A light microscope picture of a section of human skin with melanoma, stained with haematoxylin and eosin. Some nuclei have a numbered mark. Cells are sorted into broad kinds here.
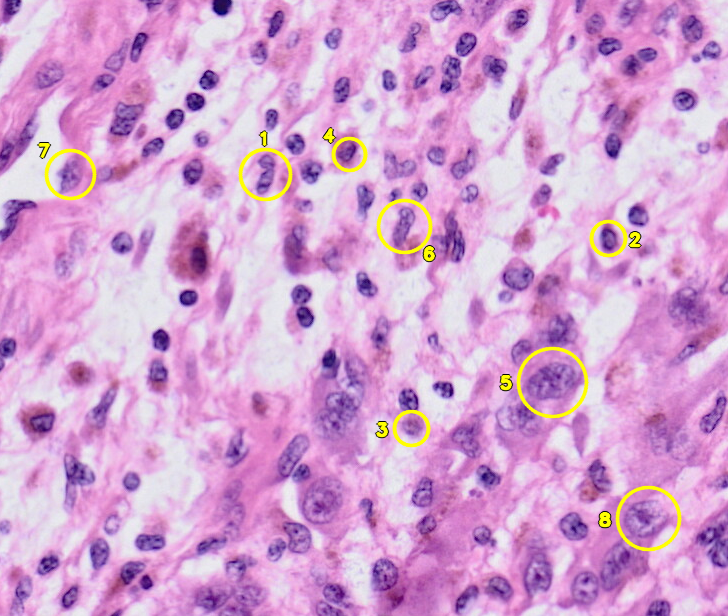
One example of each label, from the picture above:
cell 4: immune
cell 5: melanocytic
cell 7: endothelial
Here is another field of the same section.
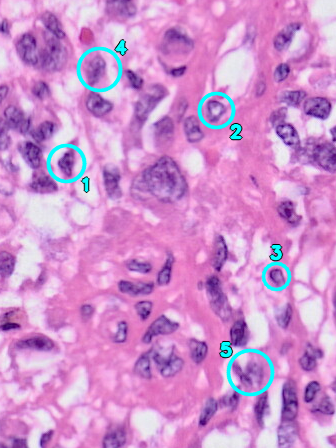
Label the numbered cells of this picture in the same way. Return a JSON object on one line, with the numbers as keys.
{"1": "melanocytic", "2": "endothelial", "3": "immune", "4": "melanocytic", "5": "melanocytic"}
